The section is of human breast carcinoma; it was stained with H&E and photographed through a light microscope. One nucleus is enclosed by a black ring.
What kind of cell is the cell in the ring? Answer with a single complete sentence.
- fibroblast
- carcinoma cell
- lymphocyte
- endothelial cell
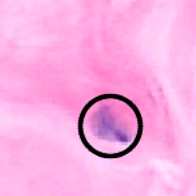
In this preparation, the cell in the ring is a fibroblast.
